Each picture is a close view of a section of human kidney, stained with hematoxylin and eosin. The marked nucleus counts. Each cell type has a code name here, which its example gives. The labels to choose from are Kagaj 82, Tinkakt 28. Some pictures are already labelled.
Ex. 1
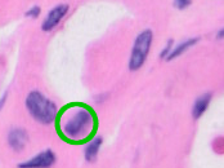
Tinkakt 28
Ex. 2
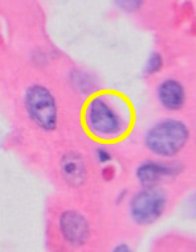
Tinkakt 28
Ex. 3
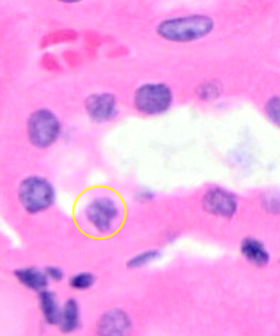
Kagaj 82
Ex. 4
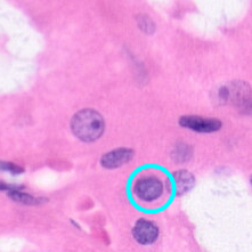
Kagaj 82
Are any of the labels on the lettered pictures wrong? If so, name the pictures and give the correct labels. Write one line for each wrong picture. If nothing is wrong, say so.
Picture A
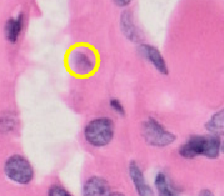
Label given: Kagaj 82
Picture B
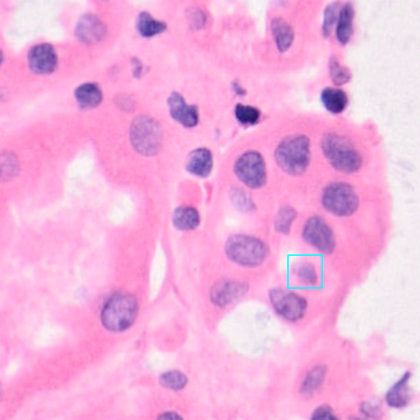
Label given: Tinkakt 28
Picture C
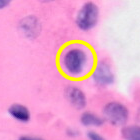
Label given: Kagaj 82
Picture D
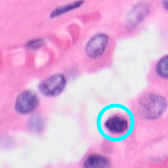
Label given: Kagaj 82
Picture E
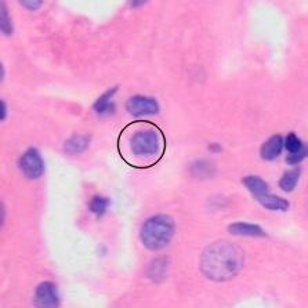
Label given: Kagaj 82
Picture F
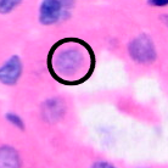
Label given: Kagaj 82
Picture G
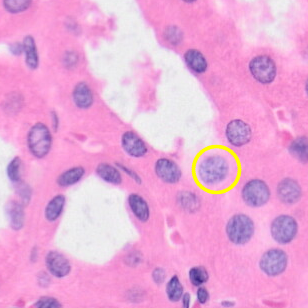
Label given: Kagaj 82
No label is wrong.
